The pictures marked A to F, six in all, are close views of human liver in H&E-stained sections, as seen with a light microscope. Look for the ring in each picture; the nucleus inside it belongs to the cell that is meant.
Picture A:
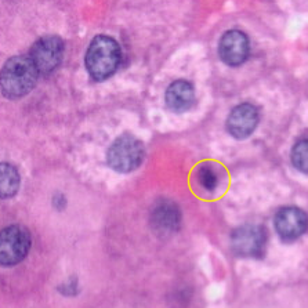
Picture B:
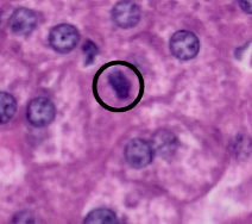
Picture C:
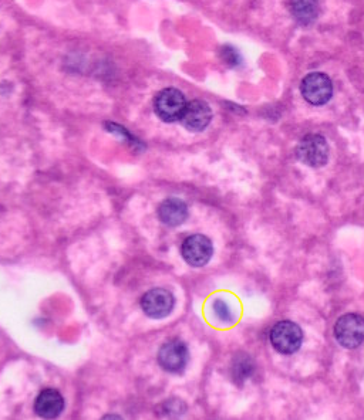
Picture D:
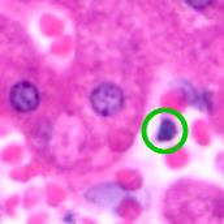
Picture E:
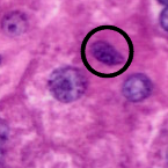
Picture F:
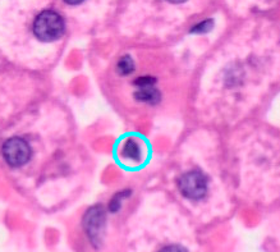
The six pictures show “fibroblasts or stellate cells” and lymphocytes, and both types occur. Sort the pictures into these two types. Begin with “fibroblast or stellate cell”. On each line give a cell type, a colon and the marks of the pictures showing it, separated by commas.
fibroblast or stellate cell: A, B, E
lymphocyte: C, D, F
